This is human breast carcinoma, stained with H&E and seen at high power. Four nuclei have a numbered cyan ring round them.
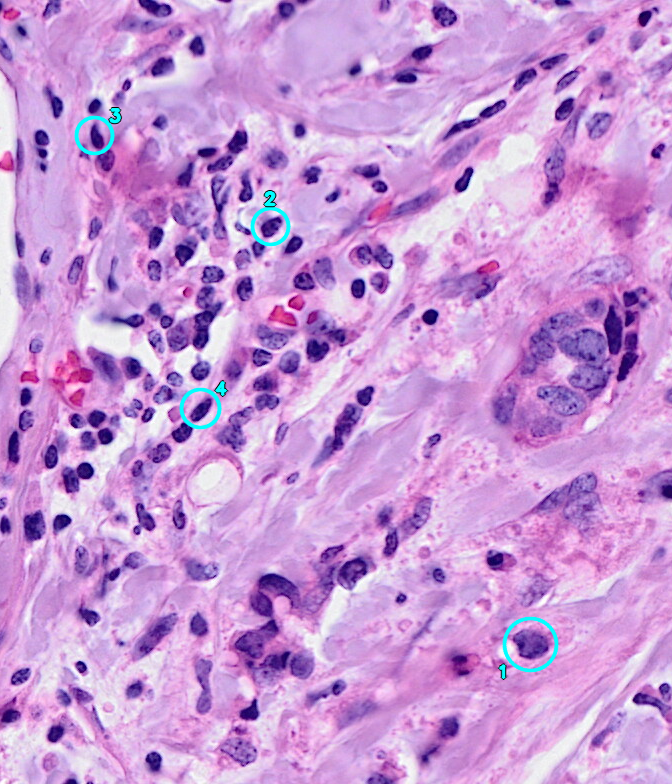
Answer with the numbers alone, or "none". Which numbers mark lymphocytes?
2, 3, 4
